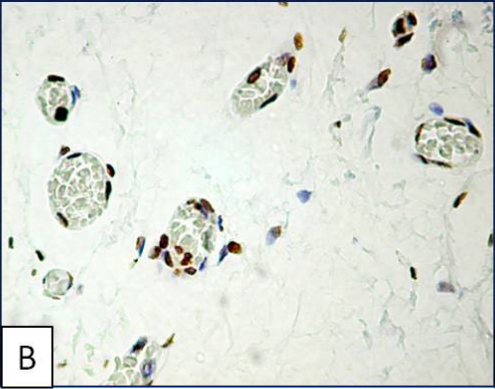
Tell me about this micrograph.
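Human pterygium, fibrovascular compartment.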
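Loose, pale connective tissue holds several small round blood vessels cut across, each filled with red blood cells. The vessels are lined by flat endothelial cells whose nuclei are mostly stained dark brown, with only a few blue nuclei between them. Scattered spindle-shaped stromal cells in the surrounding tissue also show brown nuclei. These are small blood vessels whose endothelial nuclei are almost all stained.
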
